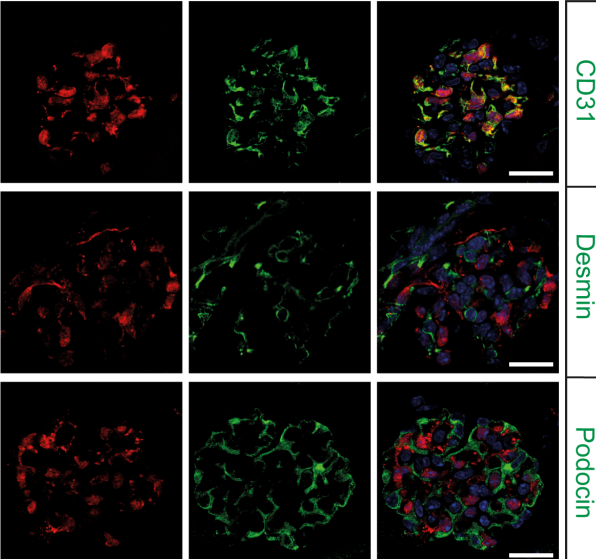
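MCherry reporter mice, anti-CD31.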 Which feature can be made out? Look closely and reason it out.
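Renal glomeruli. Each image shows a compact rounded tuft of densely packed nuclei. Green signal forms looping, capillary-like outlines within the tuft.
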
